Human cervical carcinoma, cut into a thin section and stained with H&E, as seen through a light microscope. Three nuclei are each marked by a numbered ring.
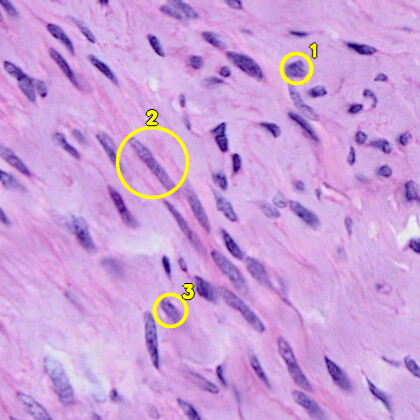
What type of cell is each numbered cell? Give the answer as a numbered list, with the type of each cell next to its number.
1. fibroblast
2. smooth muscle cell
3. smooth muscle cell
